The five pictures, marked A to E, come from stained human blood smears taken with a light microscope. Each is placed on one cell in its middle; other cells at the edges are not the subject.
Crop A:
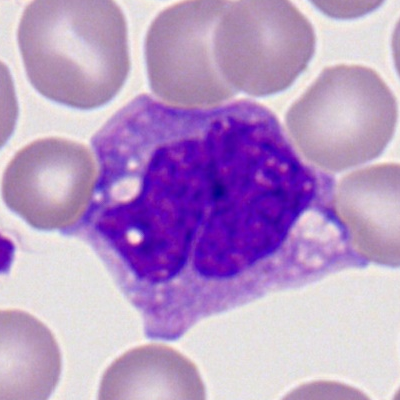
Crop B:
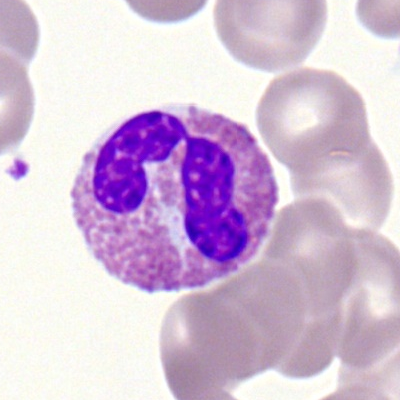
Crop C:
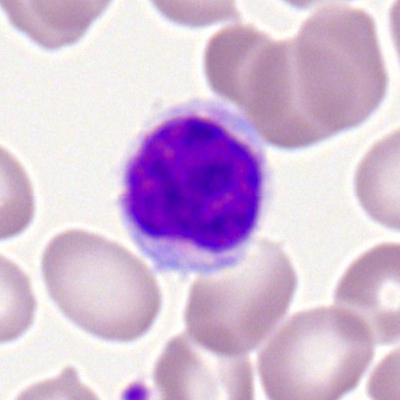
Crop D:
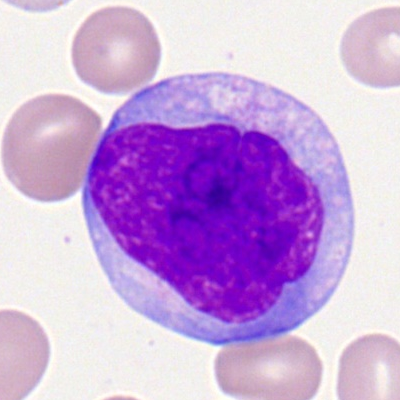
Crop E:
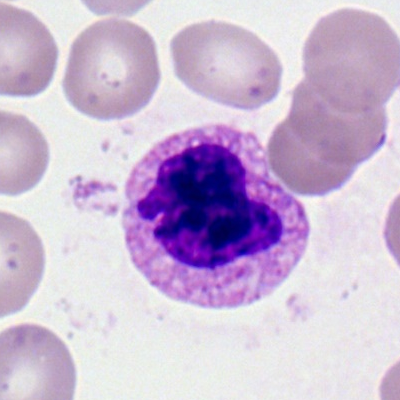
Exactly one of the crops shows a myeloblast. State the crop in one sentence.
The correct choice is crop D, the one showing a myeloblast.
